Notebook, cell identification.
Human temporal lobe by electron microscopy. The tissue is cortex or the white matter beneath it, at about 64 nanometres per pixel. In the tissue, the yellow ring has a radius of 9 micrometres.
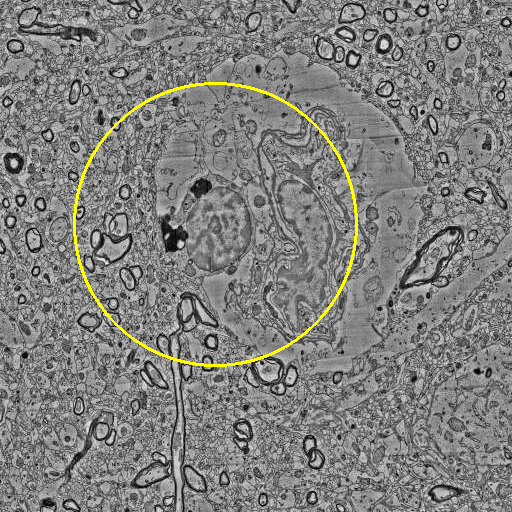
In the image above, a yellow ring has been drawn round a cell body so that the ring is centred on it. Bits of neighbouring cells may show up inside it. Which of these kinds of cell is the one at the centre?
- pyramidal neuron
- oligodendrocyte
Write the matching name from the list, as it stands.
oligodendrocyte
